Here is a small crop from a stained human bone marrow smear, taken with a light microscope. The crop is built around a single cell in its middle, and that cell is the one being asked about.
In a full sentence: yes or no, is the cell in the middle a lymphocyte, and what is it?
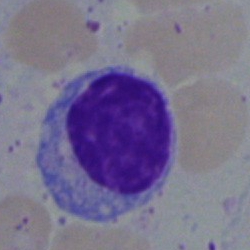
Yes, the cell found at the centre of the crop is a lymphocyte.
